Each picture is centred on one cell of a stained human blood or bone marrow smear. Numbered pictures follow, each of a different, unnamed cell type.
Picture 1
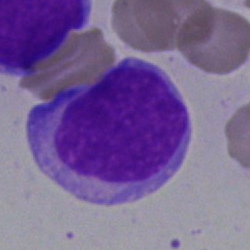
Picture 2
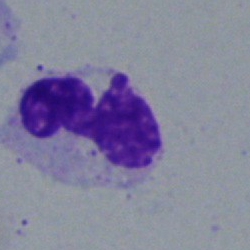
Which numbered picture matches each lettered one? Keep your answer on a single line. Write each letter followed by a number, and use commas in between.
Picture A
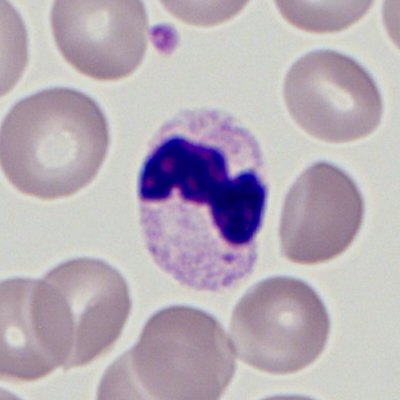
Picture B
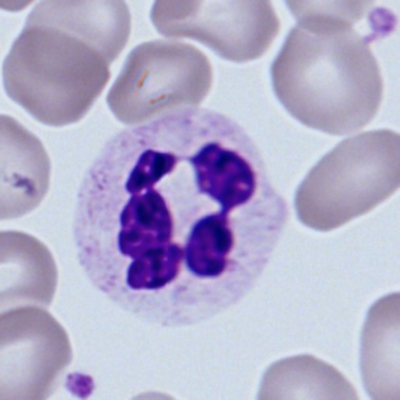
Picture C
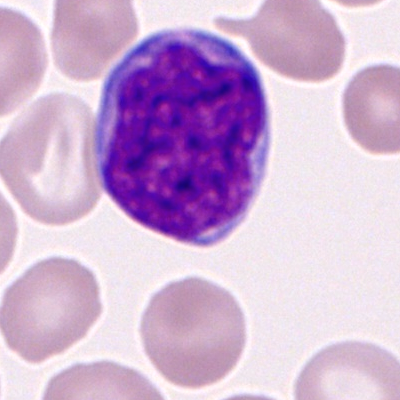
A 2, B 2, C 1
